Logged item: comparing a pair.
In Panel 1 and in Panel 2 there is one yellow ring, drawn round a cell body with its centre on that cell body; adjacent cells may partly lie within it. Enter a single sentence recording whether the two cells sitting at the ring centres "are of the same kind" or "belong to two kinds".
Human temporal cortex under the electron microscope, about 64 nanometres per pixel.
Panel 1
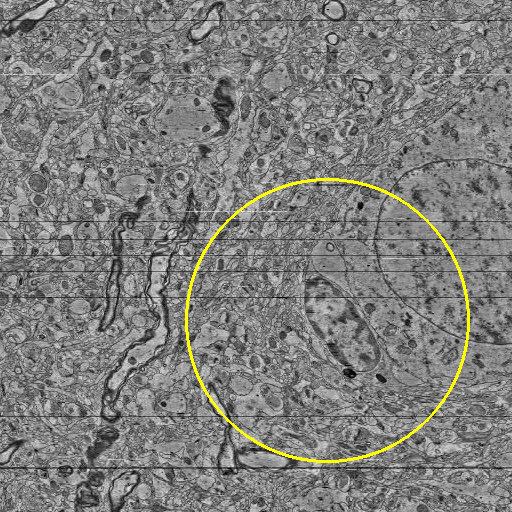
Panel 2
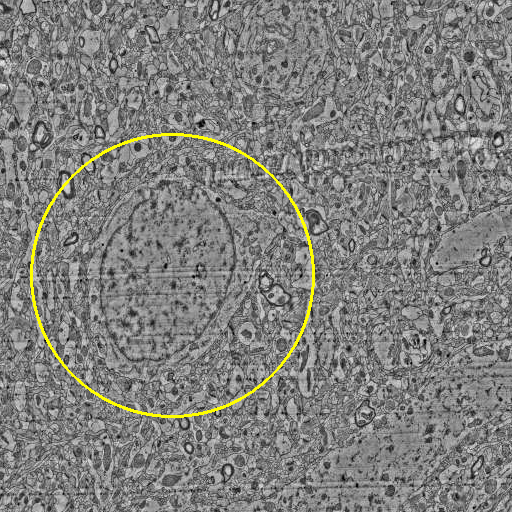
Logged: the cells centred in the rings of Panel 1 and Panel 2 belong to two kinds.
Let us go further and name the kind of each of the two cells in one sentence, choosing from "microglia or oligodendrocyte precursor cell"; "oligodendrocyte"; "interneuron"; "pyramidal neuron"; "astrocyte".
The ring of the first picture is on a microglial cell or oligodendrocyte precursor cell, the ring of the second on an interneuron.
